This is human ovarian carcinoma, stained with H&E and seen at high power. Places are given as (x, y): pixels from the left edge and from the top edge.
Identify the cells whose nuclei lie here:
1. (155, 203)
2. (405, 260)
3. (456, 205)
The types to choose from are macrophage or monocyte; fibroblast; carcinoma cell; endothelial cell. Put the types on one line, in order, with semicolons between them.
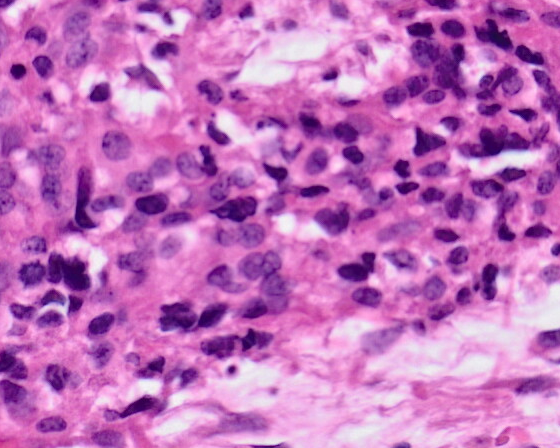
carcinoma cell; macrophage or monocyte; carcinoma cell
